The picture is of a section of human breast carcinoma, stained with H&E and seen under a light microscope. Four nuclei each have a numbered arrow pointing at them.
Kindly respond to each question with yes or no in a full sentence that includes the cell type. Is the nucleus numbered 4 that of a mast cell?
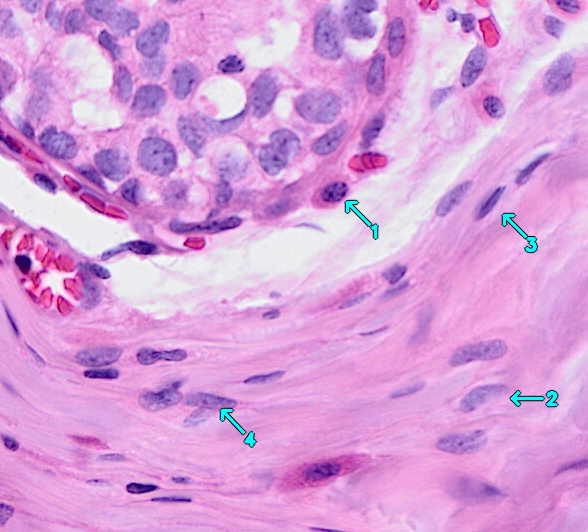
No, cell 4 isn't a mast cell; it's a fibroblast.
